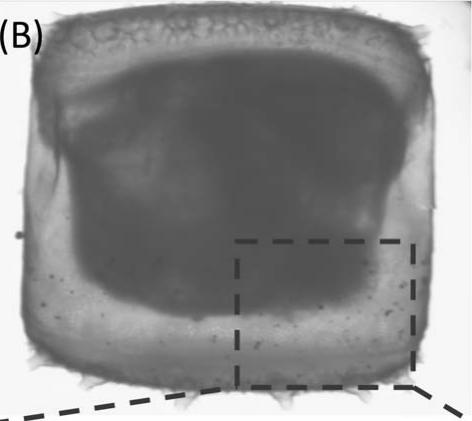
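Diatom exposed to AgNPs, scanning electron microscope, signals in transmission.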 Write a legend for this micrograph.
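A dense, dark grey central mass fills most of the interior, surrounded by a paler rim where the silica wall is thinner to the beam. The upper band shows a fine mottled, porous texture, and small spines stick out from the lower edge. Scattered small dark dots, some clustered, lie in the pale rim area, especially toward the lower right, inside a dashed square. The dark interior is most likely the cell contents enclosed by the wall.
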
